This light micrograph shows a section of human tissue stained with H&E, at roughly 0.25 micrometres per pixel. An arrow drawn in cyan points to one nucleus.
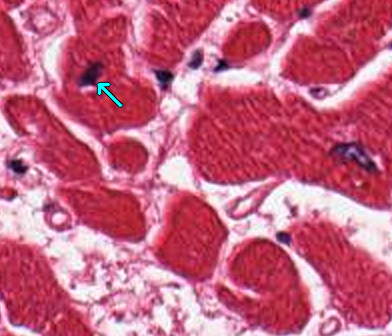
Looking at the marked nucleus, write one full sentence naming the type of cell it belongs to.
The mark in this picture falls on the nucleus of a cardiomyocyte.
